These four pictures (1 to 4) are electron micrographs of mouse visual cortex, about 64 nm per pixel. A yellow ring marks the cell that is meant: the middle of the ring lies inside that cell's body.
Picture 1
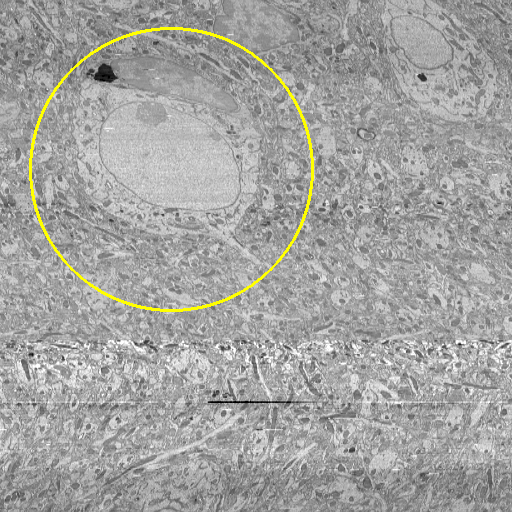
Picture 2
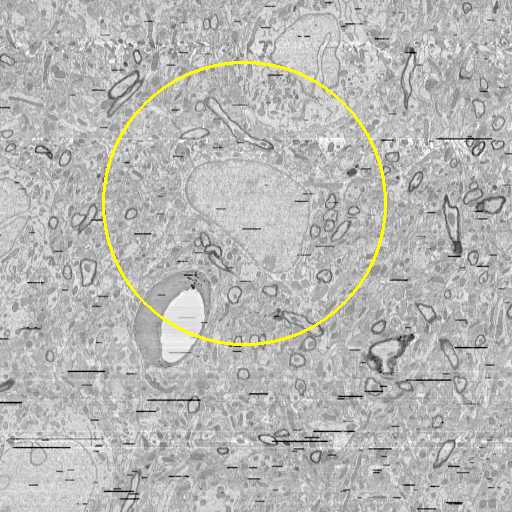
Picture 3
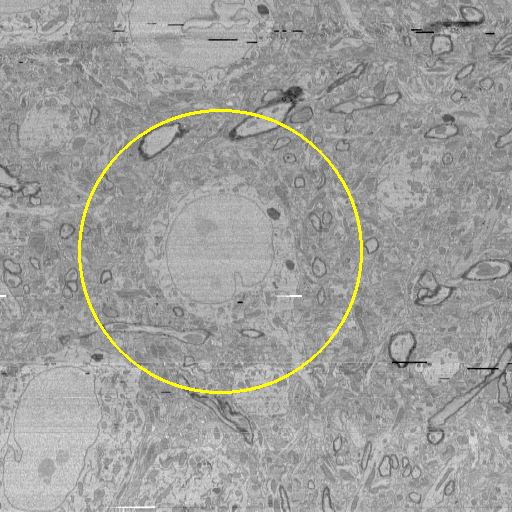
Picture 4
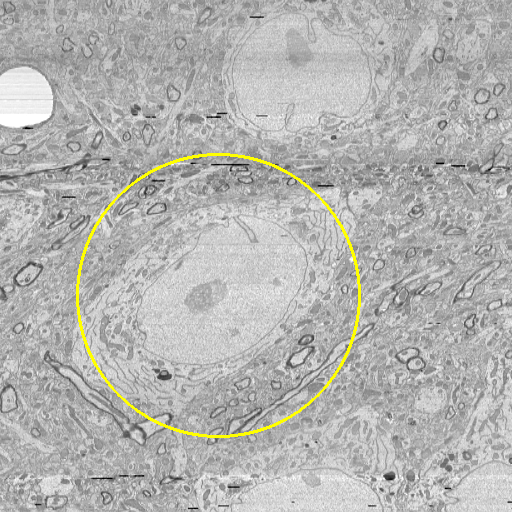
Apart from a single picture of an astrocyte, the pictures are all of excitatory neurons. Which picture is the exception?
The astrocyte is the one in picture 2.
